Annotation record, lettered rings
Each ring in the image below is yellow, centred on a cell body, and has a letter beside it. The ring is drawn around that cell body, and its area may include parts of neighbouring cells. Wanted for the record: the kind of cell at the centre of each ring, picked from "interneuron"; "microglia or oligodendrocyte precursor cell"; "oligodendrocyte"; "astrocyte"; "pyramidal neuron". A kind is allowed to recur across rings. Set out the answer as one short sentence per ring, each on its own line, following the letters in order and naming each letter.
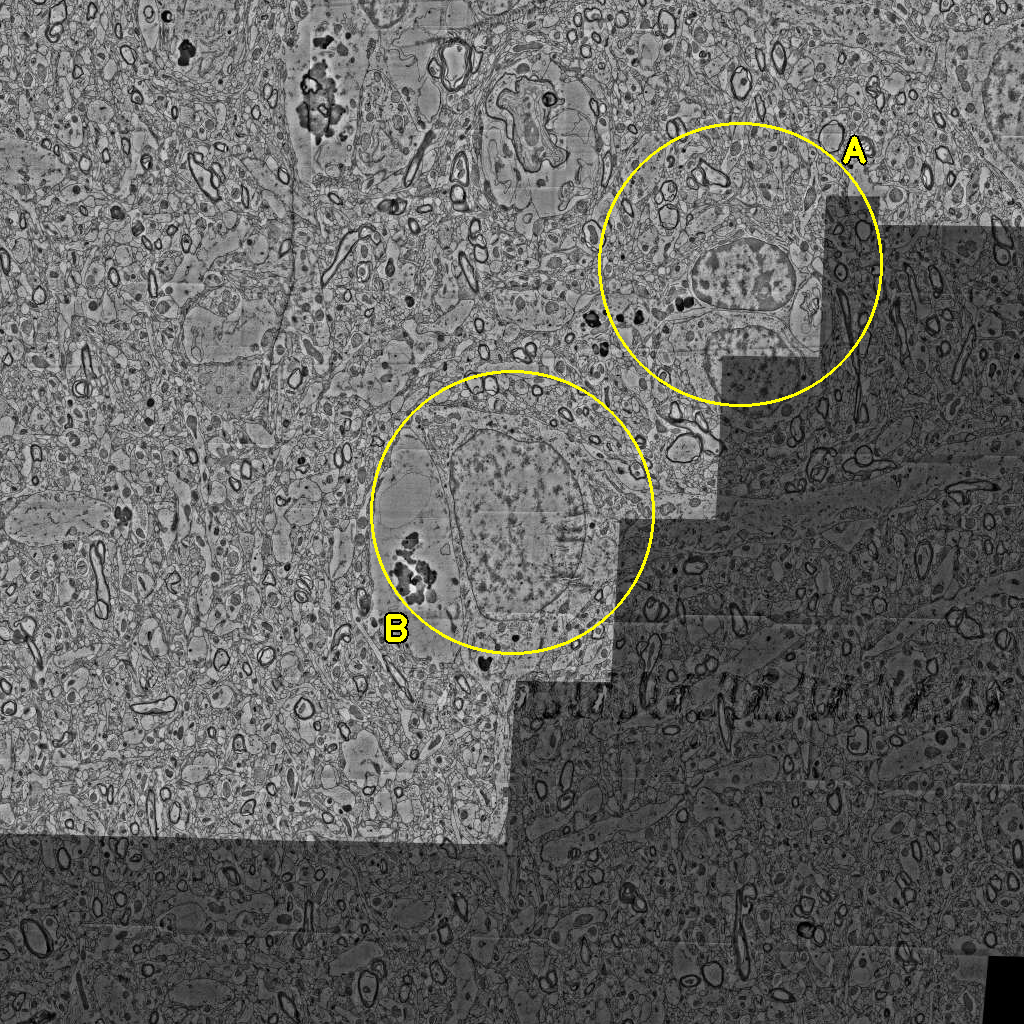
Ring A was drawn on a microglial cell or oligodendrocyte precursor cell.
Ring B was drawn on a pyramidal neuron.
